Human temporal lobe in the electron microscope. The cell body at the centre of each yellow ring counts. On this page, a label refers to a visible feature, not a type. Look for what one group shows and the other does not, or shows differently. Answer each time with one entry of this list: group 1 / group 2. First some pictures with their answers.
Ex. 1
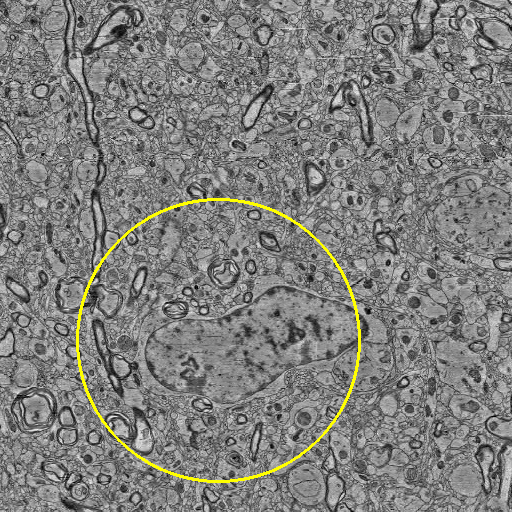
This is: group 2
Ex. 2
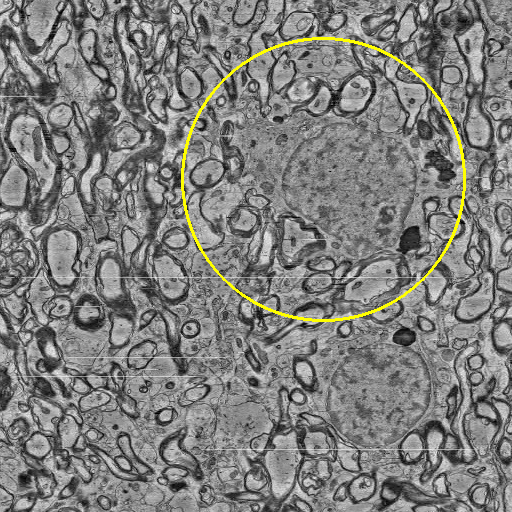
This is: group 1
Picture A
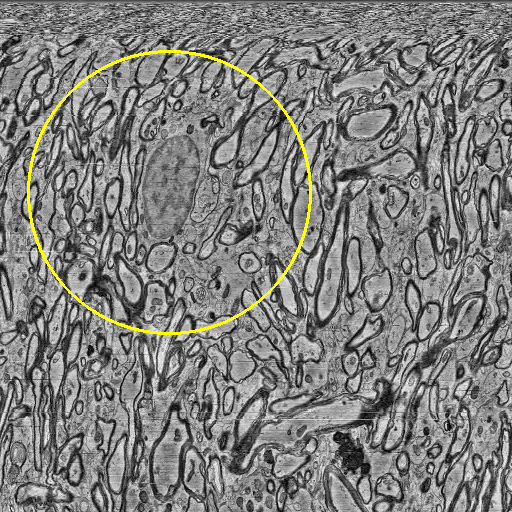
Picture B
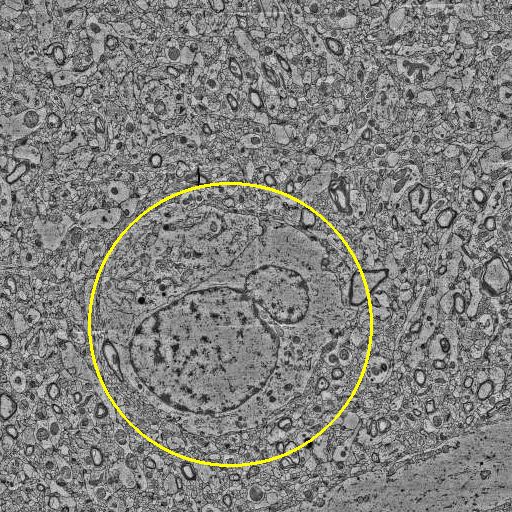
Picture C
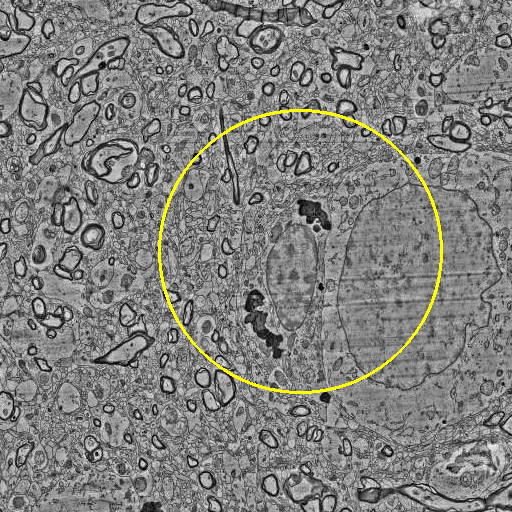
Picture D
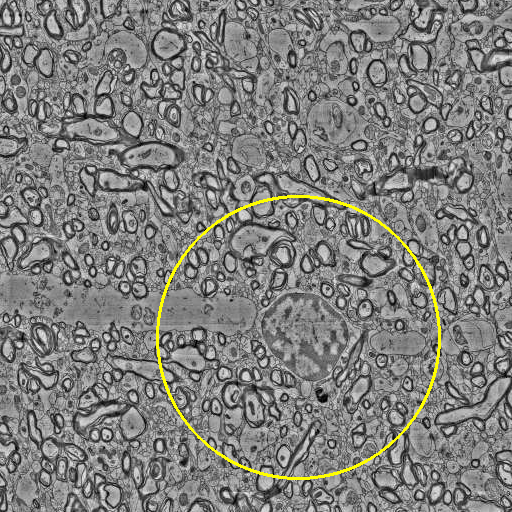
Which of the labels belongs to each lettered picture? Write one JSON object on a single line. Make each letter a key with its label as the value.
{"A": "group 2", "B": "group 1", "C": "group 2", "D": "group 1"}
